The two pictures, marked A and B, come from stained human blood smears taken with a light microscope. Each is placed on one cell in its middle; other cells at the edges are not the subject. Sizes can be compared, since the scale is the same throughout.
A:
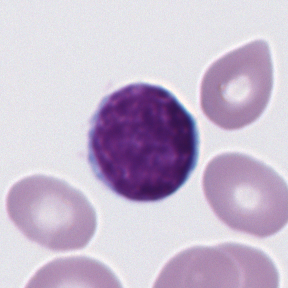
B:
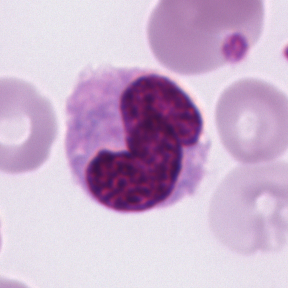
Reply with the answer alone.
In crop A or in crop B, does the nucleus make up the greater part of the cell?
A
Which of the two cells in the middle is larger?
B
